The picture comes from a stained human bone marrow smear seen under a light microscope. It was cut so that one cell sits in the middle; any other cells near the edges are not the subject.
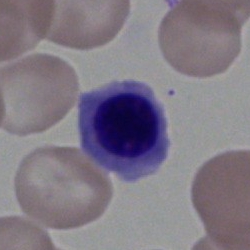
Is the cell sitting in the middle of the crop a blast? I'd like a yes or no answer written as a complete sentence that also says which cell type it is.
No, in the middle of the crop there is an erythroblast rather than a blast.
